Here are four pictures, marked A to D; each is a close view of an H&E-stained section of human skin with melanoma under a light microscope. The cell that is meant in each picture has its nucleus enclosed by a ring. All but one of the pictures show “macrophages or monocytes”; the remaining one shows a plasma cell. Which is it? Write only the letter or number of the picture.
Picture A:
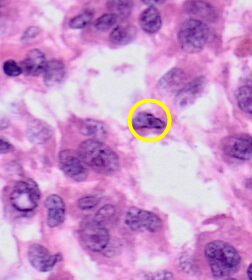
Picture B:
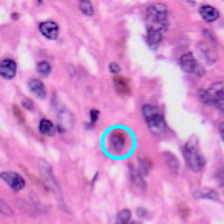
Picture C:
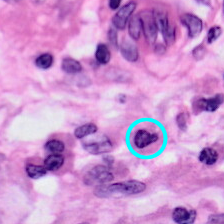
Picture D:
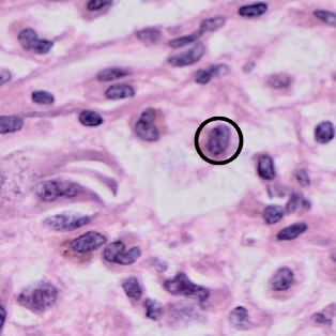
C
